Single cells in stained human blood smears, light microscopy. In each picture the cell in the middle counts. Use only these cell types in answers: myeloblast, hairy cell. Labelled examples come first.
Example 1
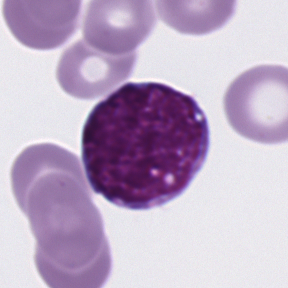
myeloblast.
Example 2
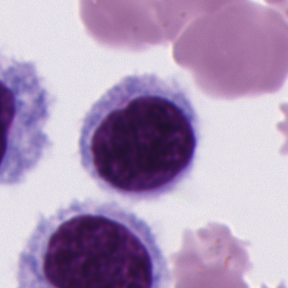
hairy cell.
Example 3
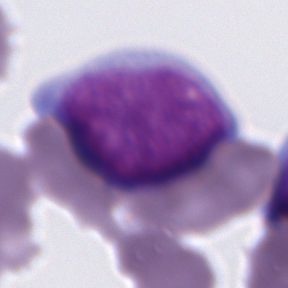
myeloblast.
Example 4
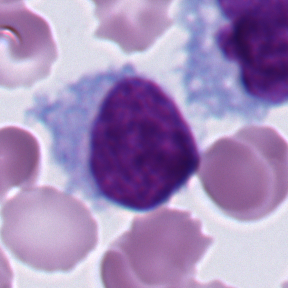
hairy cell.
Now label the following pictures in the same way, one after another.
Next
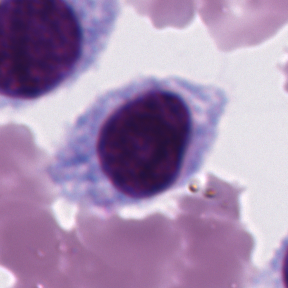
hairy cell.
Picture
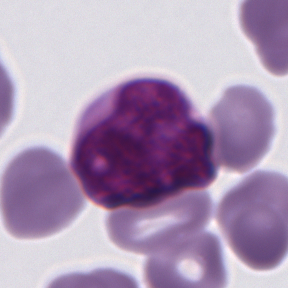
myeloblast.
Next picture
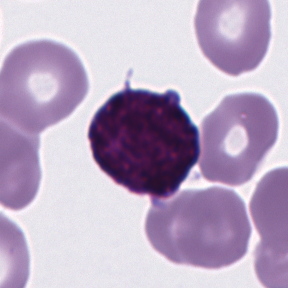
myeloblast.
